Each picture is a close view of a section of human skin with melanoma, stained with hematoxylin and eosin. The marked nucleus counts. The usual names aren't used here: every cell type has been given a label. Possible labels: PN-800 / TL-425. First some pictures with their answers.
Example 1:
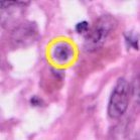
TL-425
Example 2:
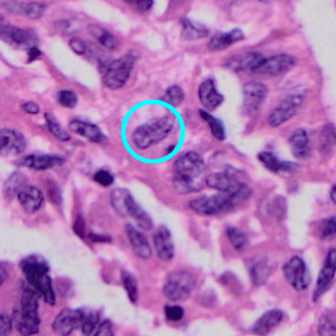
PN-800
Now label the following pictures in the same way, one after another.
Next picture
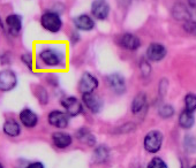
TL-425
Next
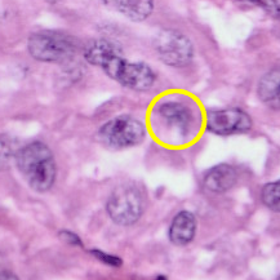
PN-800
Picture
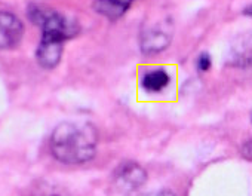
TL-425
